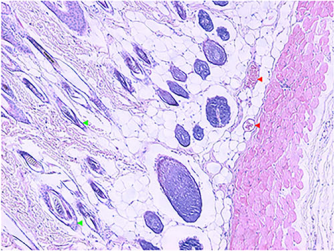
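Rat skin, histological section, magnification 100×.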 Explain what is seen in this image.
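Between the follicles lie large, empty-looking fat cells with thin walls, and at the right edge a band of pink skeletal muscle fibers. Small vessel profiles are seen near the muscle layer.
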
